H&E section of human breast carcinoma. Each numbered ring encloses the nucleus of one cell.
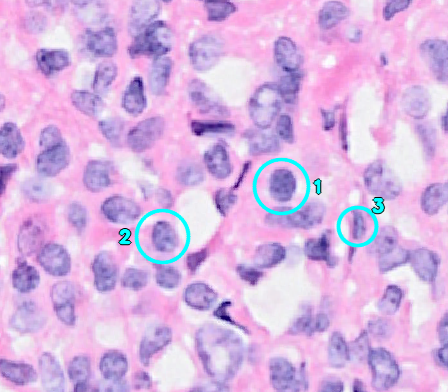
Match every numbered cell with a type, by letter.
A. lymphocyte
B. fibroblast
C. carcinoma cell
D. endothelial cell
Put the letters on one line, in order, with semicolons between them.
C; C; D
